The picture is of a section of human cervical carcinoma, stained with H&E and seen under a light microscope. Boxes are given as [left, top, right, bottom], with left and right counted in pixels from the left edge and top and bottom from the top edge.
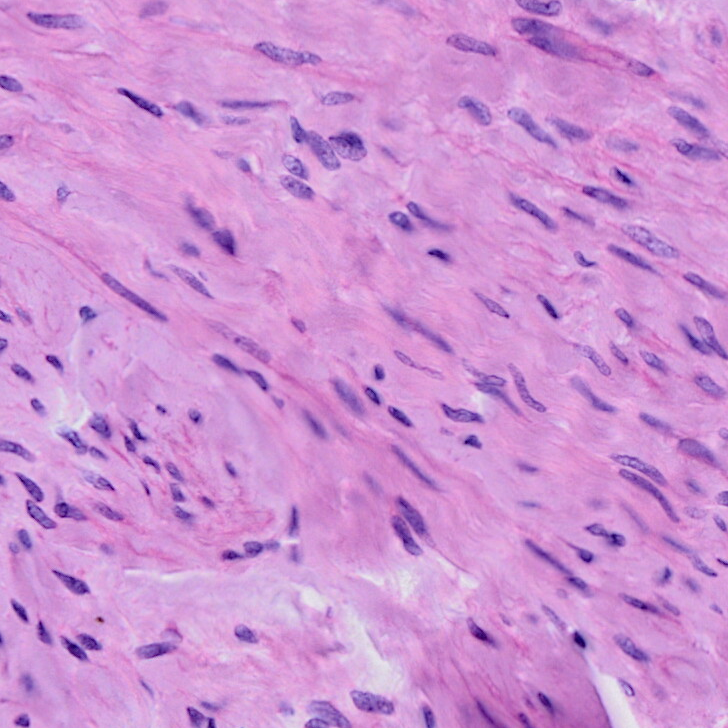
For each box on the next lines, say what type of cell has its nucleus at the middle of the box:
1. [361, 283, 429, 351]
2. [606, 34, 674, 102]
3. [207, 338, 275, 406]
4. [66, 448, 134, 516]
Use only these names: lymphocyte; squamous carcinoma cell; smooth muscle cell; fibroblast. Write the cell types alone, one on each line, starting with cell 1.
fibroblast
smooth muscle cell
fibroblast
fibroblast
